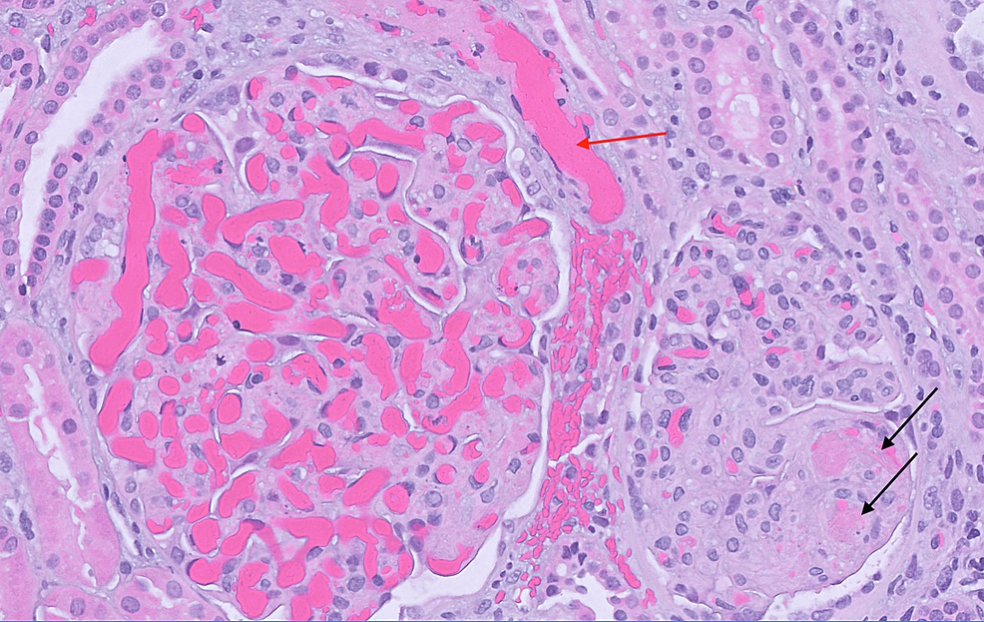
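Renal cortex with two glomeruli surrounded by tubules lined by cuboidal epithelium with pink cytoplasm and round nuclei. The larger glomerulus on the left has its capillary loops distended and packed with bright pink red cells, and a small vessel at its upper edge is plugged with dense pink material. The smaller glomerulus on the right is more cellular, with pale, smudgy pink deposits within its capillaries at its lower right edge.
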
